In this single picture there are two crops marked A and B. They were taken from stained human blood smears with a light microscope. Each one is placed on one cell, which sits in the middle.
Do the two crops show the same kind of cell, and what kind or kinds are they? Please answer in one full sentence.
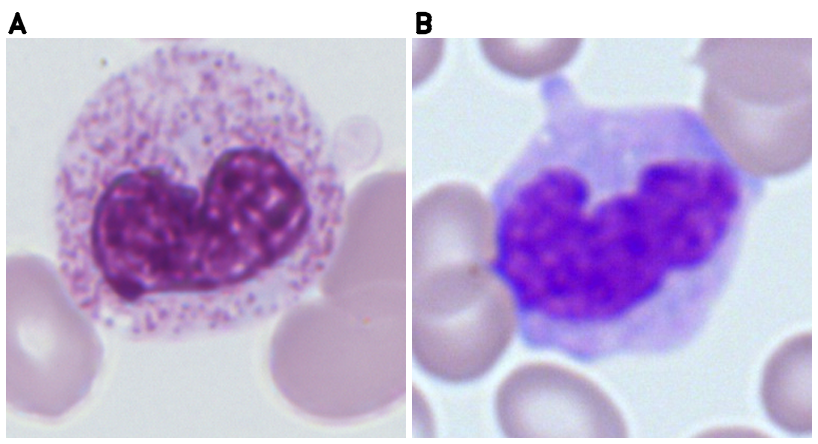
No, a monocyte is the cell in crop B, and crop A contains a band neutrophil.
